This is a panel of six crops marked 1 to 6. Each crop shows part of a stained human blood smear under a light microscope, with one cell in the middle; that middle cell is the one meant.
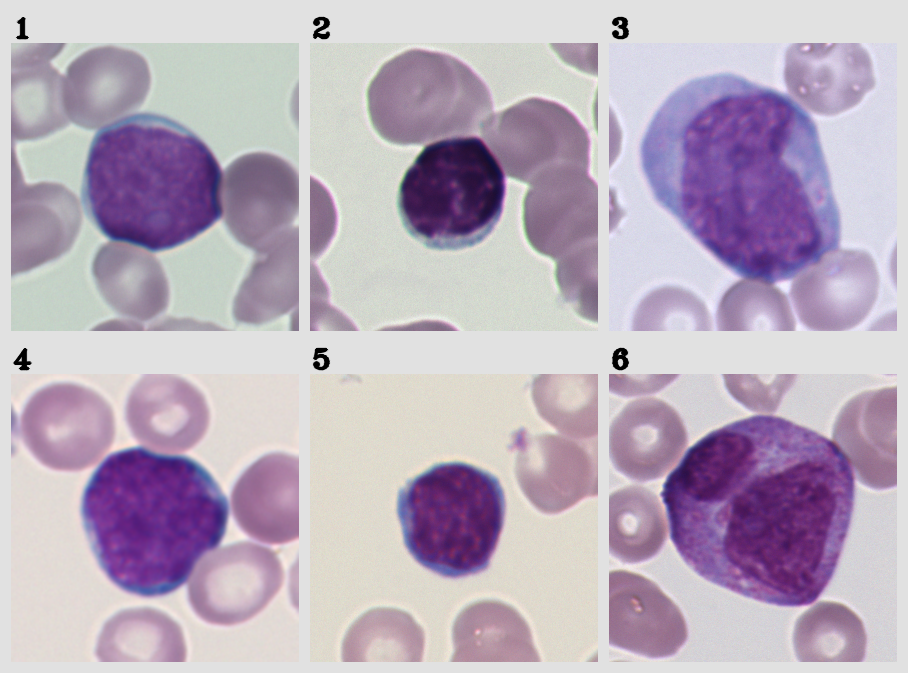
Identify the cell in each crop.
1: myeloblast
2: typical lymphocyte
3: atypical promyelocyte
4: myeloblast
5: typical lymphocyte
6: atypical promyelocyte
